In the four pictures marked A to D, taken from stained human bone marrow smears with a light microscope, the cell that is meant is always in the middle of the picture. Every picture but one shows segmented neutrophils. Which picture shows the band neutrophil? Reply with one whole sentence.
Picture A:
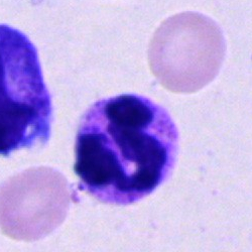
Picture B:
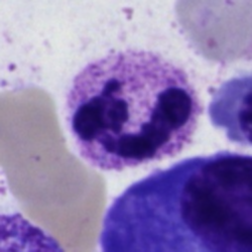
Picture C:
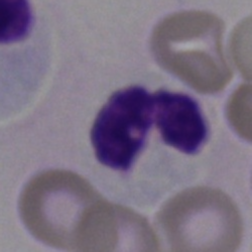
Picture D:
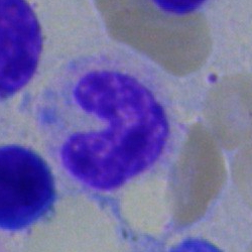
Picture D shows the band neutrophil.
